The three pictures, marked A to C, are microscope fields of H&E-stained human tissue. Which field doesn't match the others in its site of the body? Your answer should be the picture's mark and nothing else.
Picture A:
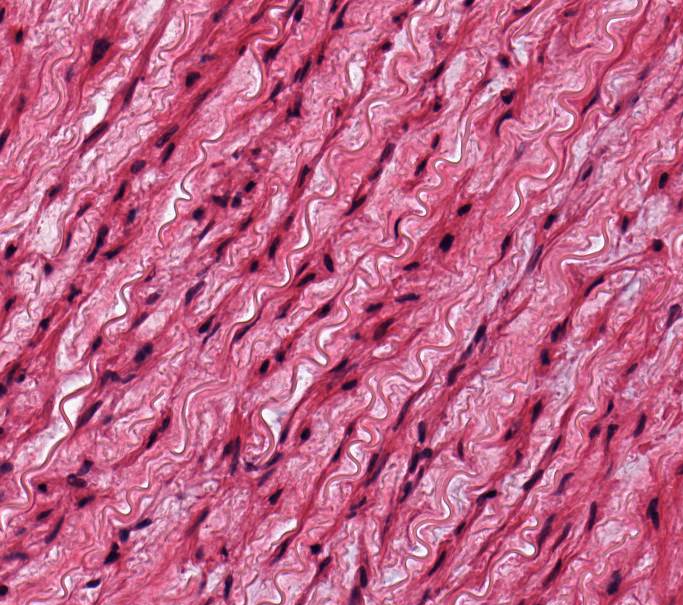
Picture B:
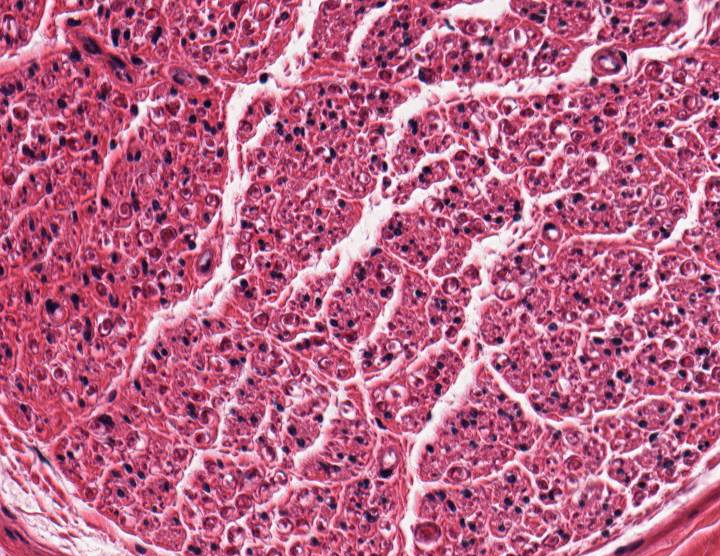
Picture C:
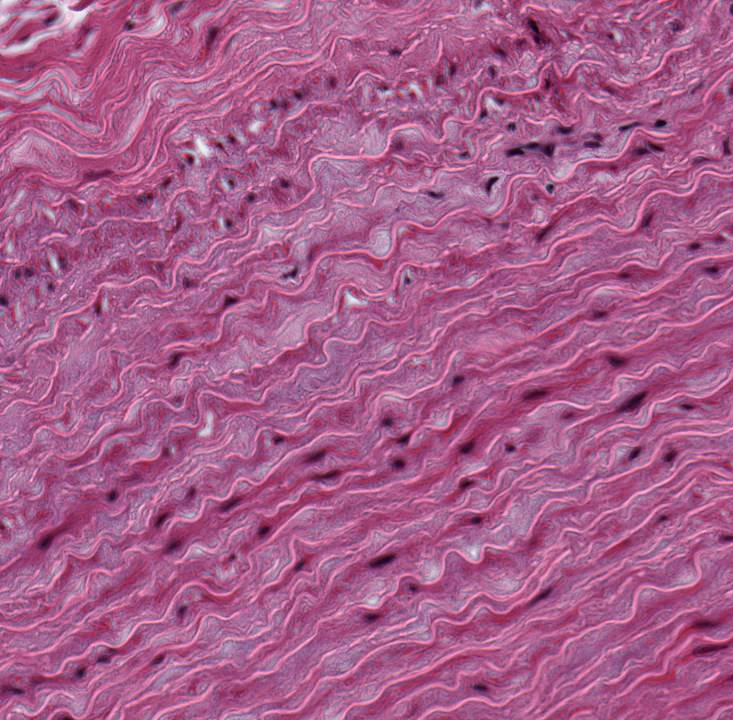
B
